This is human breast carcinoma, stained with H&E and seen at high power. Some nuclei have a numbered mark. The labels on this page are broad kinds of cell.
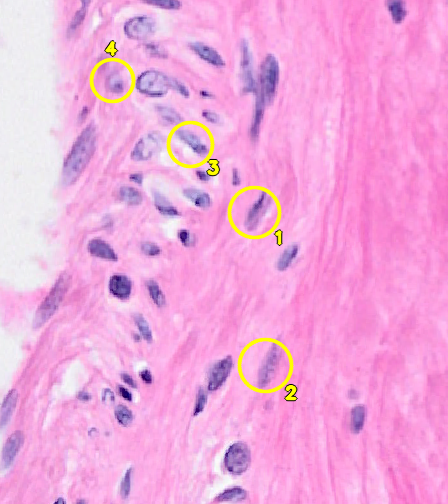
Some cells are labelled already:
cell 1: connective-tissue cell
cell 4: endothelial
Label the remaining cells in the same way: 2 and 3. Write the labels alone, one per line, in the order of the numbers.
connective-tissue cell
endothelial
